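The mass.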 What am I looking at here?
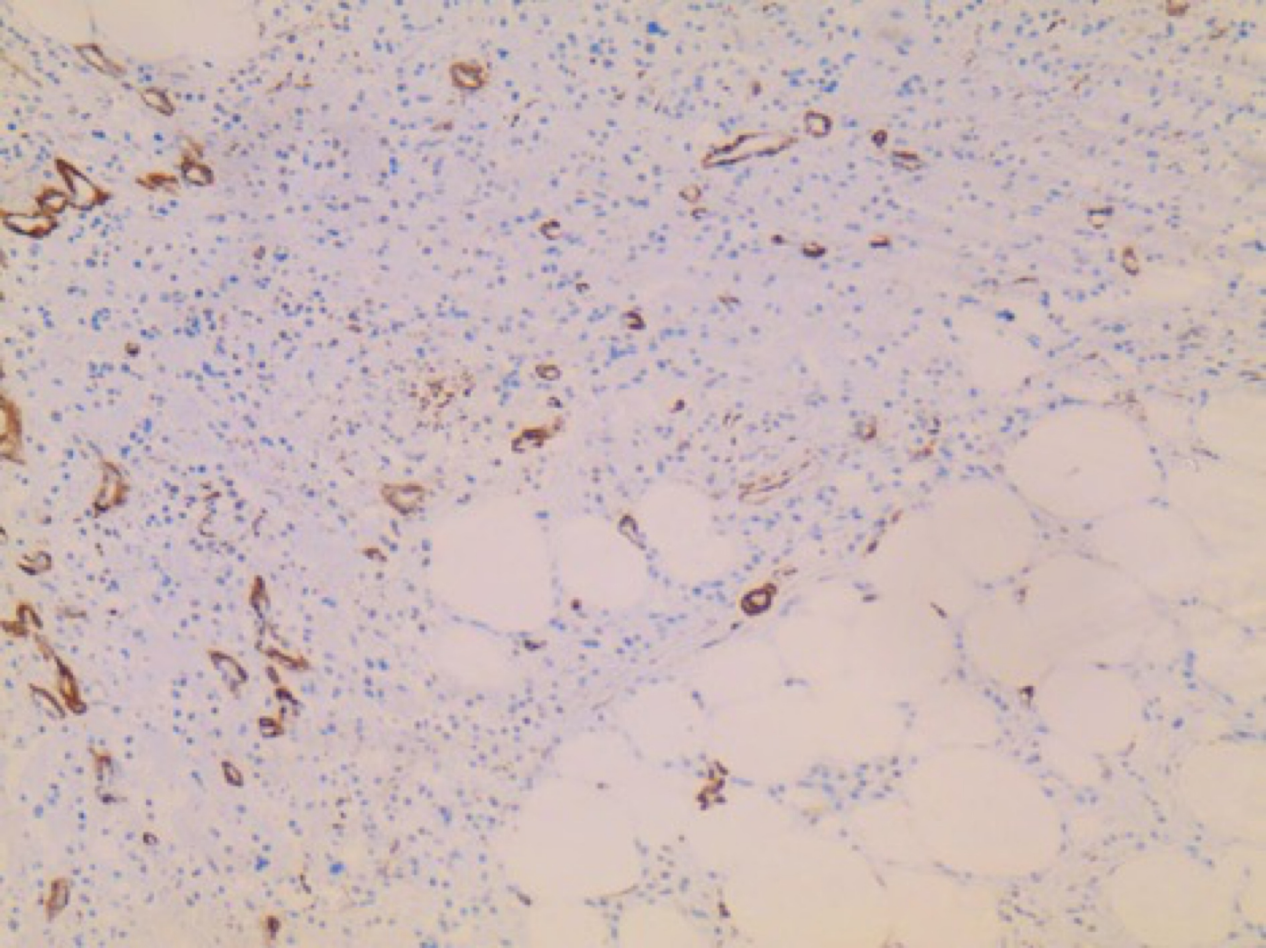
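This is a low-power view of tumor tissue. Many small, evenly scattered cells lie loosely in an abundant pale matrix, with no sign of a compact, cohesive sheet. The nuclei are small, round to oval and blue, and the individual cells are widely spaced. Numerous small vessels are outlined by brown staining of their walls. These vessels are scattered through the tumor and are denser toward the left edge. Toward the lower right, the tumor borders and extends between large, empty, rounded adipocytes of fat tissue, with thin strands of cells between them.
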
